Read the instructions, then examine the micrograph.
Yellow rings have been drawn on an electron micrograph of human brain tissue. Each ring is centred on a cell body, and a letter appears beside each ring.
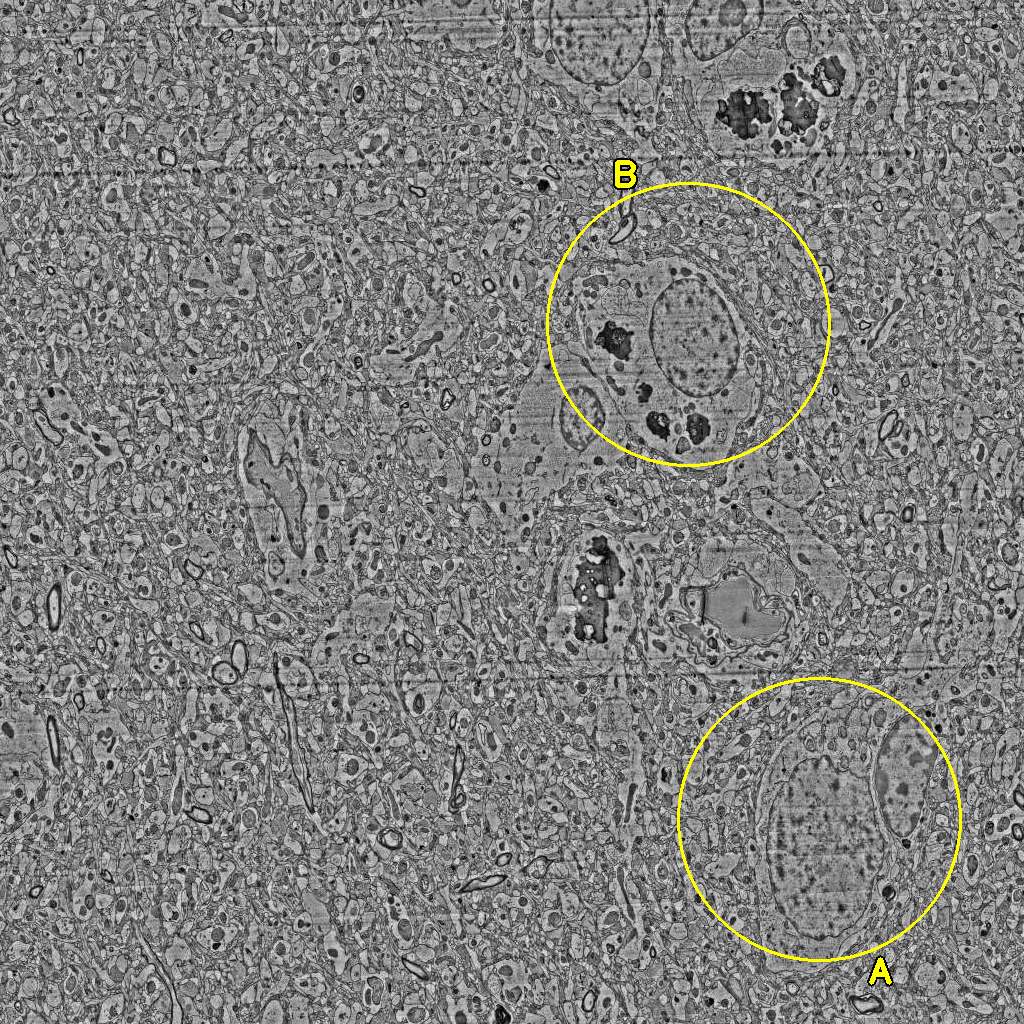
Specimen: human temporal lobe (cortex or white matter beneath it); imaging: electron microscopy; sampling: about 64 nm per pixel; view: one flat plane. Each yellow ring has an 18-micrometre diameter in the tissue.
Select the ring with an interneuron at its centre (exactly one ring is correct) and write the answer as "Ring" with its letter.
Ring A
